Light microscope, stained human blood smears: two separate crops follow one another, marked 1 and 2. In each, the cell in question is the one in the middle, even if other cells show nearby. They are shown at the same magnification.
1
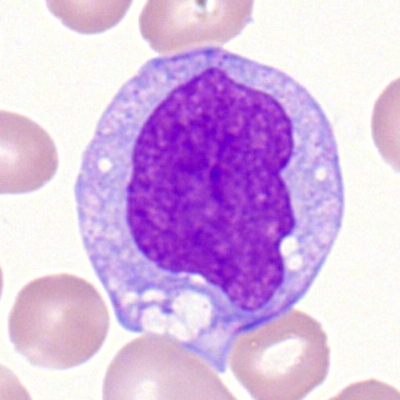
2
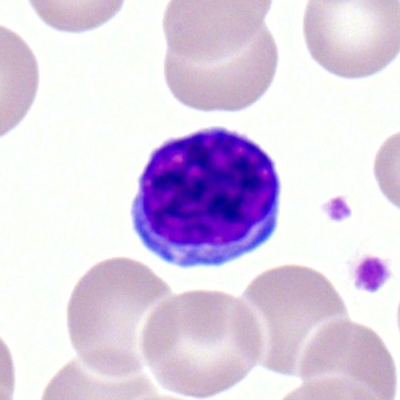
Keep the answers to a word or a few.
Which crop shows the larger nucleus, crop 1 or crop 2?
1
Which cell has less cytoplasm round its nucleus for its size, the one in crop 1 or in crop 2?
2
